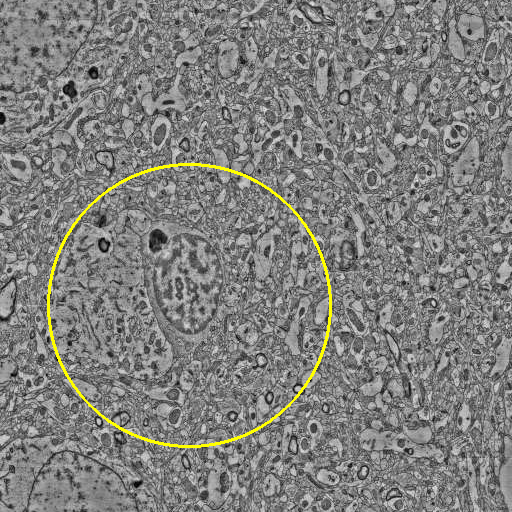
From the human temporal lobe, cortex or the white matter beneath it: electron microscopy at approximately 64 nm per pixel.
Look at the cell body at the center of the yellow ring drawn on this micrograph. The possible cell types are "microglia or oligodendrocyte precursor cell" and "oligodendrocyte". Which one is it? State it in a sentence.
The cell in the middle of the ring is an oligodendrocyte.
